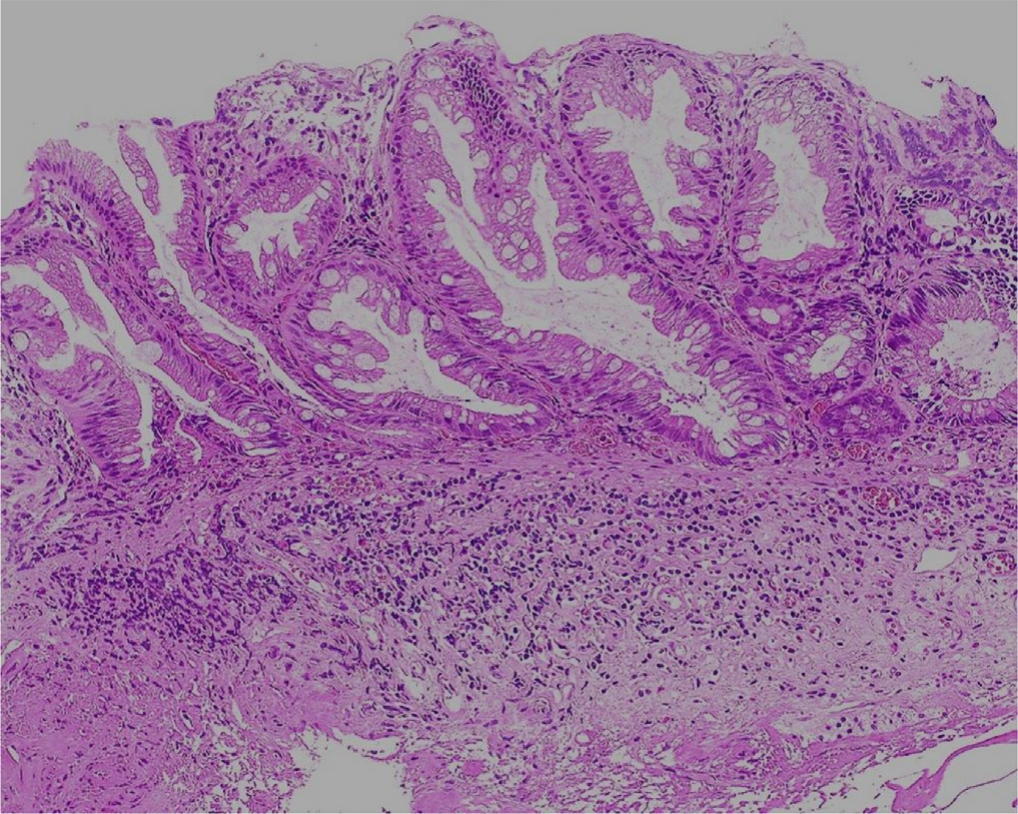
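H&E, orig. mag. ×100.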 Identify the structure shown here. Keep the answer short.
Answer: boot-shaped crypt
